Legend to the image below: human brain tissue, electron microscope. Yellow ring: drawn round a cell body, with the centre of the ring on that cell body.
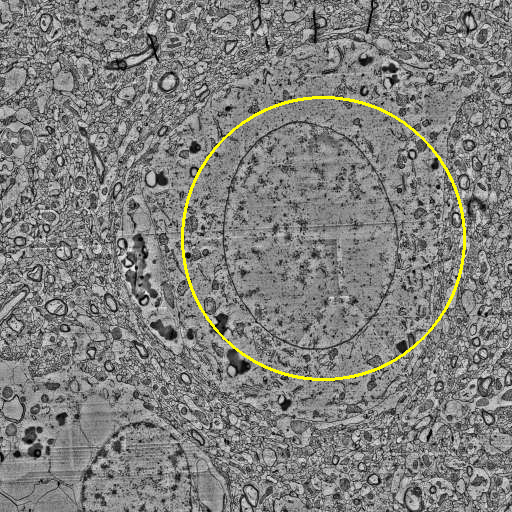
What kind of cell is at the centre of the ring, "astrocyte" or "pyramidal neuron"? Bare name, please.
pyramidal neuron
